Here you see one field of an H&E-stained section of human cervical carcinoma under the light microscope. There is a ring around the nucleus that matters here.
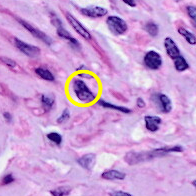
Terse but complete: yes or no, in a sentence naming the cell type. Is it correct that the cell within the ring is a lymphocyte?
Yes, the cell within the ring counts as a lymphocyte in this tissue.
